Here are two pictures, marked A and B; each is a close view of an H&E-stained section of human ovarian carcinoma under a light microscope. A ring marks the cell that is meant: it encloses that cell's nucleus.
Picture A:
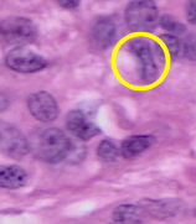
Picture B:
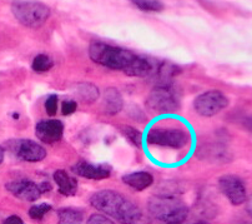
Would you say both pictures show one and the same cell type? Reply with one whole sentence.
Yes, both cells are carcinoma cells.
